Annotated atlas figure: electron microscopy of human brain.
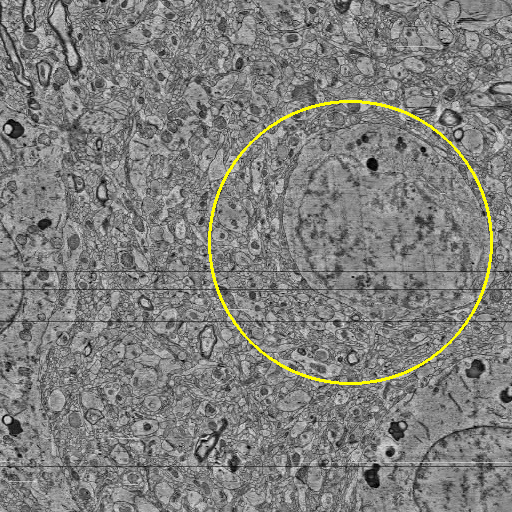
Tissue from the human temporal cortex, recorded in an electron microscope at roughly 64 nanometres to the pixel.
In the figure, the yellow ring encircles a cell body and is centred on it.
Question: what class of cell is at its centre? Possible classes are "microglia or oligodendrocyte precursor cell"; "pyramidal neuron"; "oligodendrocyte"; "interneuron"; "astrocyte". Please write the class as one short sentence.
The yellow ring is drawn around an interneuron.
